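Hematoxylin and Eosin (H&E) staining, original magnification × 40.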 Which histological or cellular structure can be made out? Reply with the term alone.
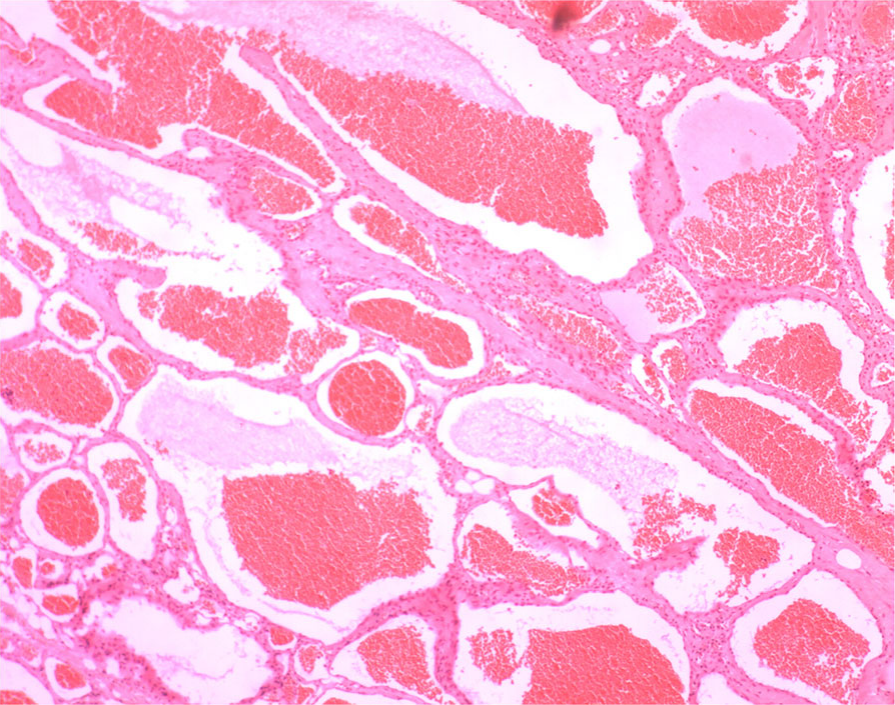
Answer: Irregular dilated blood-filled vessels.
